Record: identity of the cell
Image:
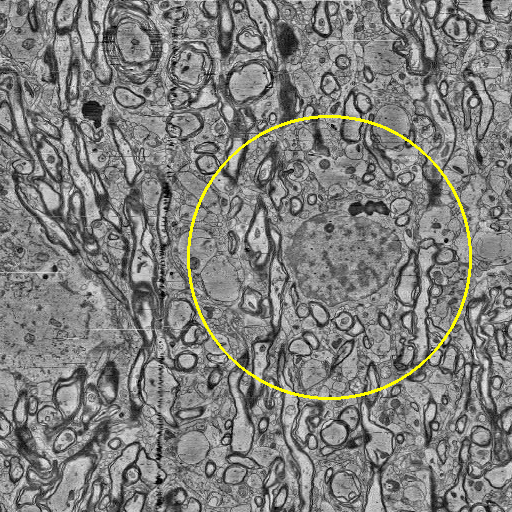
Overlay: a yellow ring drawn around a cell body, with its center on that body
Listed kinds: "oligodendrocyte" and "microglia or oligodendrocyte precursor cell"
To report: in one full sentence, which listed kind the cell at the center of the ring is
In the image, the cell body at the ring's center belongs to an oligodendrocyte.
